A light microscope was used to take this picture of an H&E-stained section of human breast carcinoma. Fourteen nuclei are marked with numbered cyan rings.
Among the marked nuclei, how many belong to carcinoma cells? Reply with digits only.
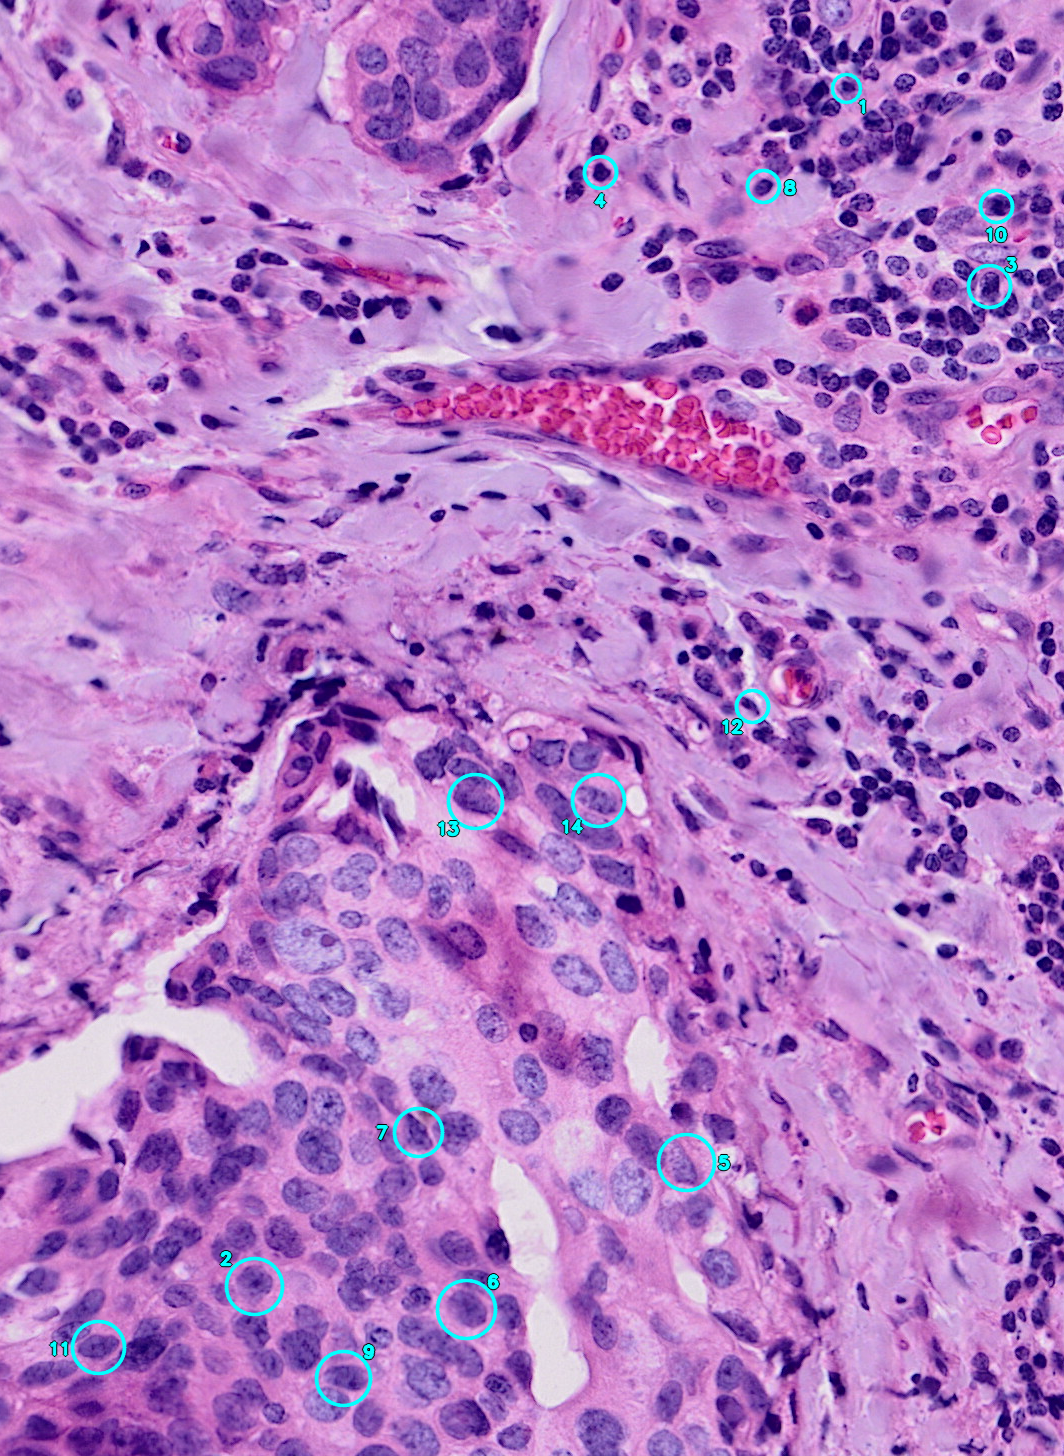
8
